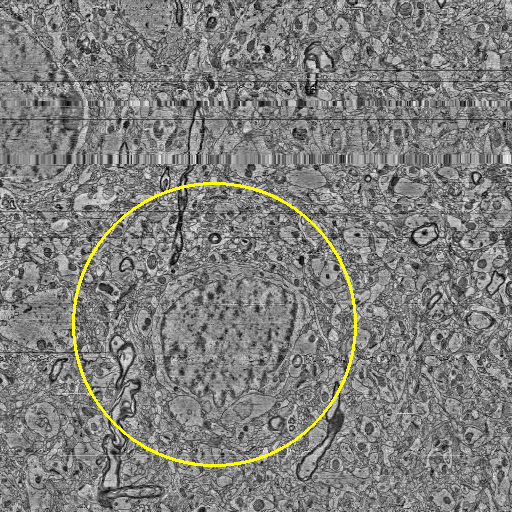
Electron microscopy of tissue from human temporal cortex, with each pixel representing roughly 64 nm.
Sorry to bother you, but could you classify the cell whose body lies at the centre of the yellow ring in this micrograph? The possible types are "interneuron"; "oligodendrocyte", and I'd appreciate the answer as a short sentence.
The ringed cell body is that of an interneuron.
